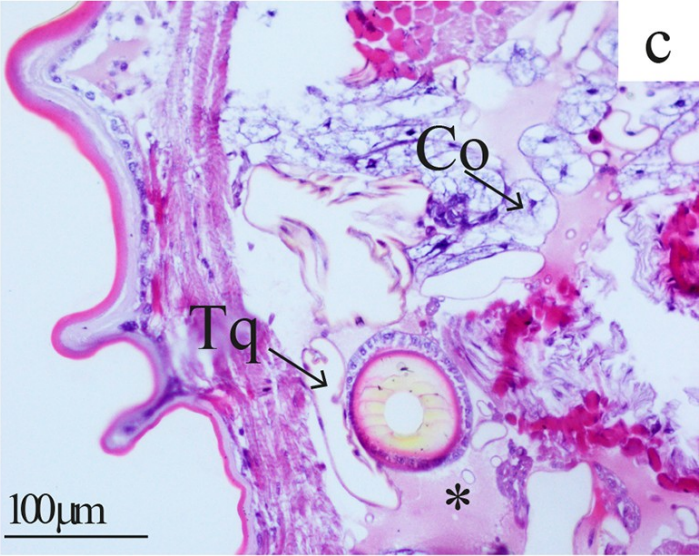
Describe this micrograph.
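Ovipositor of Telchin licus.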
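At the left lies a thick, deep pink outer cuticle forming a folded projection. Beneath it is a row of small epidermal cells with purple nuclei, and deeper still a band of pink, fibrous, longitudinally running muscle. Above and to the right lies loose connective tissue of pale, foamy, vacuolated cells with scattered purple nuclei. Spaces between the tissues are filled with pale pink, homogeneous, acellular fluid. Strongly red-stained tissue lies at the upper and right edges.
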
